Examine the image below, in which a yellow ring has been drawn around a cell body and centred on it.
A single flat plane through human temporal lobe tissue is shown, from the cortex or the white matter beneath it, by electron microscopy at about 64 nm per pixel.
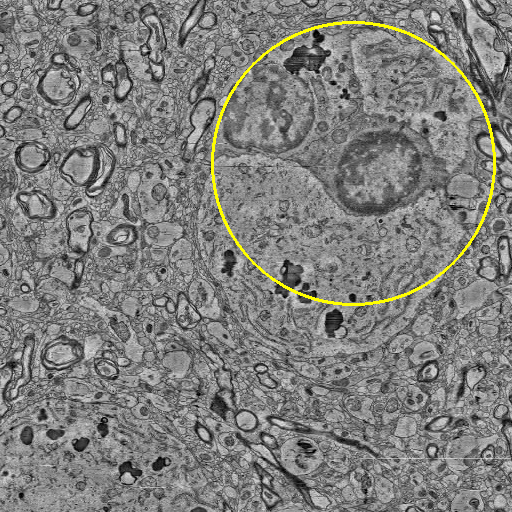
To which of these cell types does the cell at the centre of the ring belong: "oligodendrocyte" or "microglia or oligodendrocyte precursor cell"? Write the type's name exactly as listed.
oligodendrocyte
